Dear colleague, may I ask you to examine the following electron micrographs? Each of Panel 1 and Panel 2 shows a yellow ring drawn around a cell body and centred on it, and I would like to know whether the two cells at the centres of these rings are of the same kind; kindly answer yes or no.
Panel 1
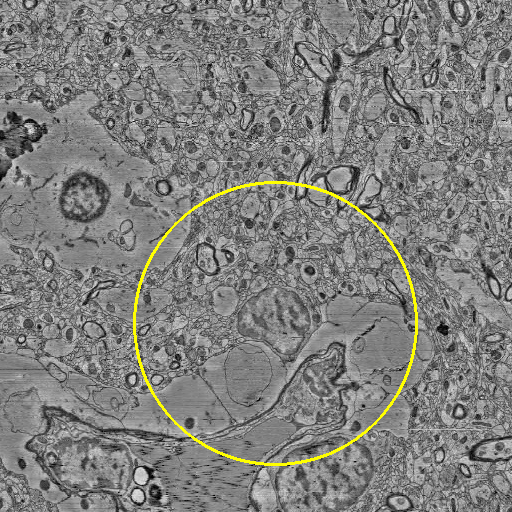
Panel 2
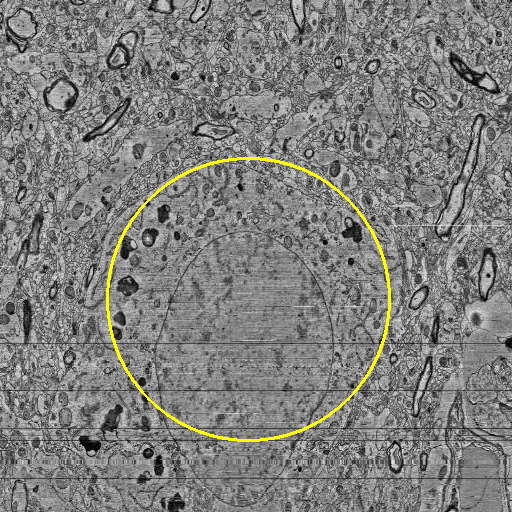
no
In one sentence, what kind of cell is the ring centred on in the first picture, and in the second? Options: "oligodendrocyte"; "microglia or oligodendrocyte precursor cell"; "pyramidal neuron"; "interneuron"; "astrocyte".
The cell at the centre of the second ring is a pyramidal neuron; the first ring's cell is an oligodendrocyte.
